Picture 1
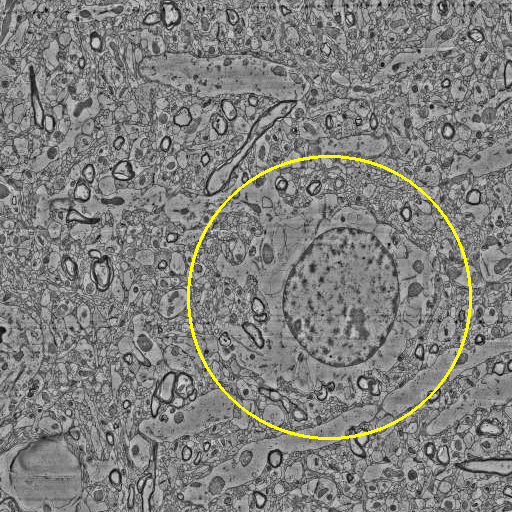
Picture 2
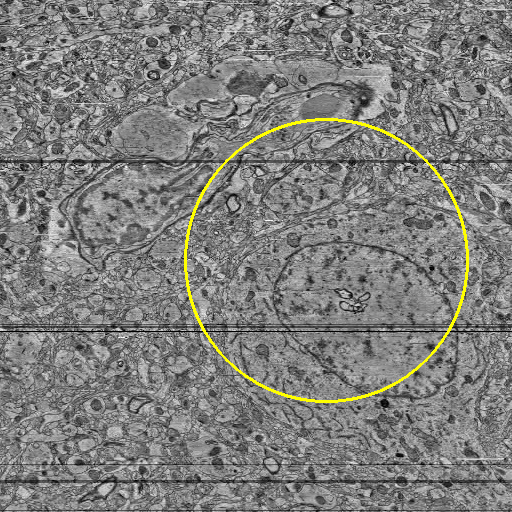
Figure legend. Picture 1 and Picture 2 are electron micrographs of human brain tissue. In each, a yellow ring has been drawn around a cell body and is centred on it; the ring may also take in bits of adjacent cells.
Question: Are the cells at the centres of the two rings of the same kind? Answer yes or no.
no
